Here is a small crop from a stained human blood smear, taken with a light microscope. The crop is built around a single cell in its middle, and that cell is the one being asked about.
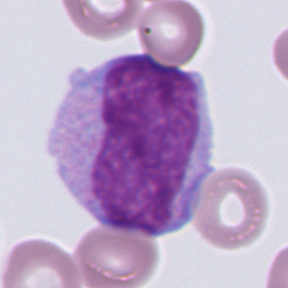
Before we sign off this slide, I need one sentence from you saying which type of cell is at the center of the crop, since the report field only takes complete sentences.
The cell nearest the centre of this crop is an atypical promyelocyte.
